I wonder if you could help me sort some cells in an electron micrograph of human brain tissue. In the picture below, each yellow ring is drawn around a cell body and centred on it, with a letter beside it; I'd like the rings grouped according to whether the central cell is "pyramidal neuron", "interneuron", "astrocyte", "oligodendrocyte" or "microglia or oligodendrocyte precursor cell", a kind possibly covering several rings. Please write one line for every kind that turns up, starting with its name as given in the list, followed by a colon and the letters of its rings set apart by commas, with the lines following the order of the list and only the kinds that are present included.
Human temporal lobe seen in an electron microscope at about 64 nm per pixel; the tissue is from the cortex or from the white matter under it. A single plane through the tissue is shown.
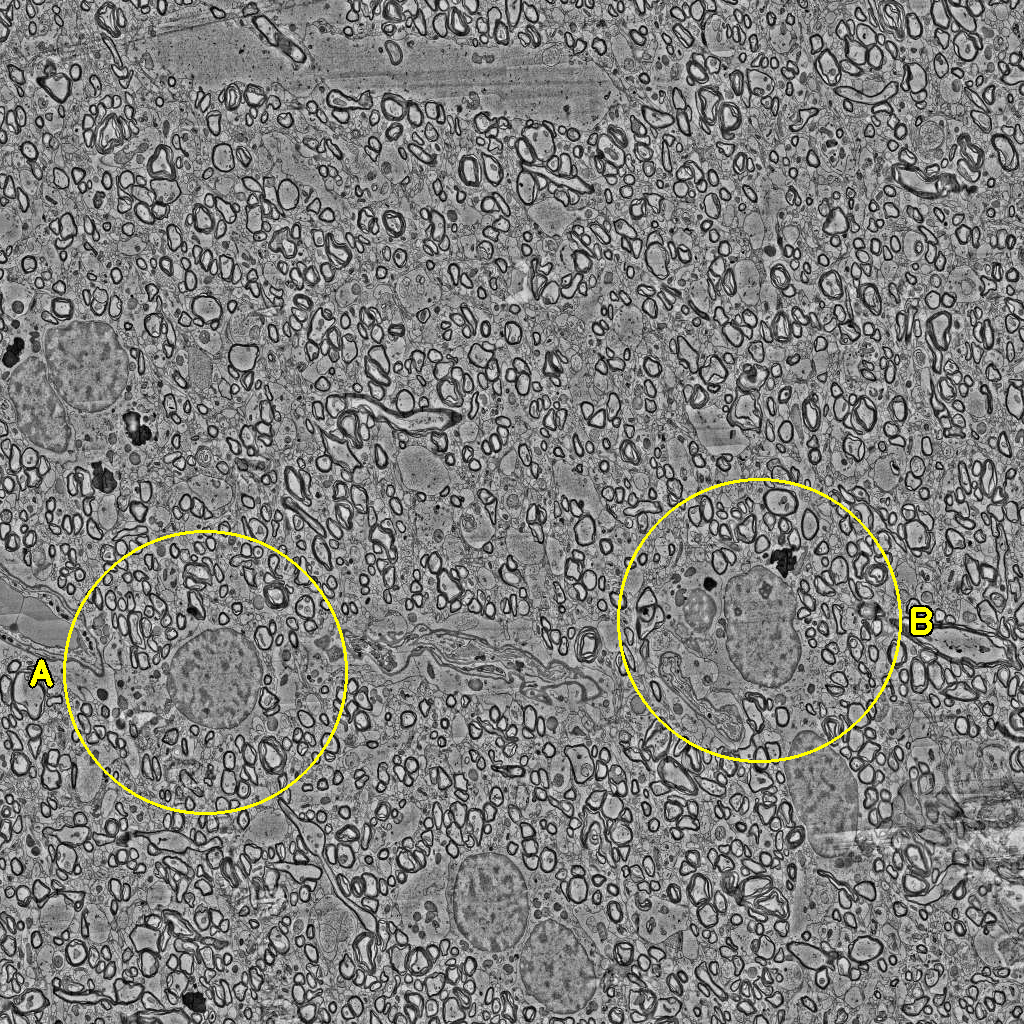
oligodendrocyte: A, B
